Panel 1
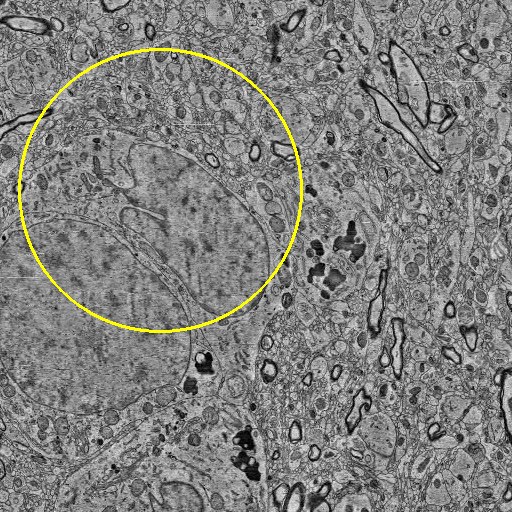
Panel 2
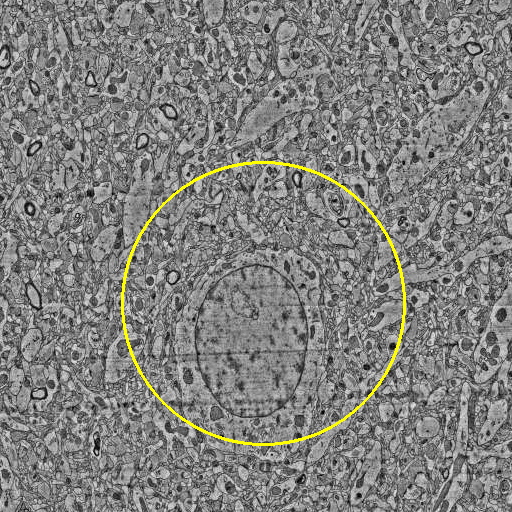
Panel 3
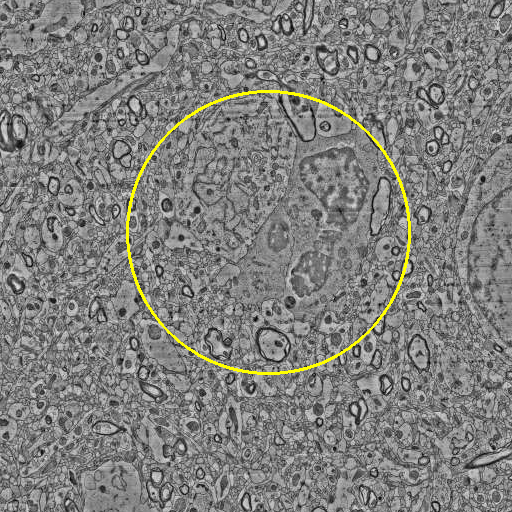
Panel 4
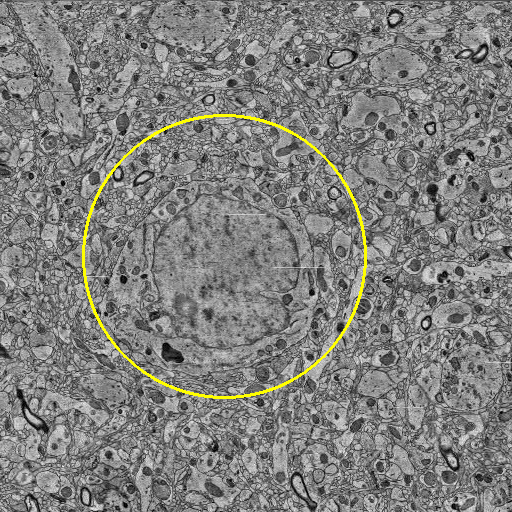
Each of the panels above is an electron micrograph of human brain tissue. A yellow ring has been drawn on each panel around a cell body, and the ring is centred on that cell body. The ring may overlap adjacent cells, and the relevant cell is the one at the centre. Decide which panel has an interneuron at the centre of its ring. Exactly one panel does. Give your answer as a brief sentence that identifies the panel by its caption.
Panel 4 is the one with it at the centre of the ring.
